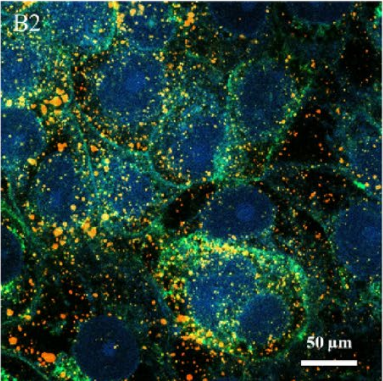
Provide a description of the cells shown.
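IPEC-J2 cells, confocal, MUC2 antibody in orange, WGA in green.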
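The cells are polygonal and closely packed, each with a large round to oval nucleus in blue. Green labelling outlines the cell borders and gathers as fine granules around the nuclei. Orange puncta and larger droplets are scattered across the cells and over the dark gaps between them. Where orange and green overlap they appear yellow, mostly in the perinuclear cytoplasm.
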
